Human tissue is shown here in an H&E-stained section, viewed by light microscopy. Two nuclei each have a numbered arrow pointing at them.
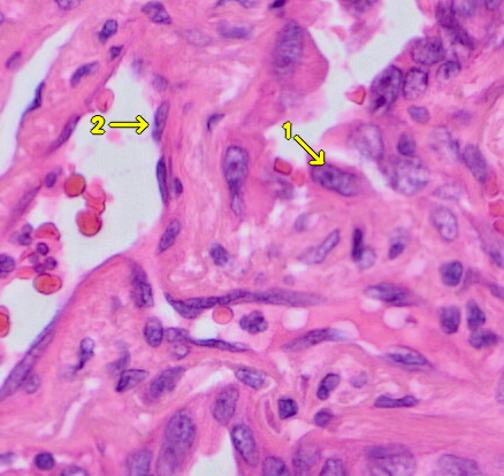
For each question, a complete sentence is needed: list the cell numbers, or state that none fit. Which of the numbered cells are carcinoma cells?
Only the nucleus marked 1 is that of a carcinoma cell.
